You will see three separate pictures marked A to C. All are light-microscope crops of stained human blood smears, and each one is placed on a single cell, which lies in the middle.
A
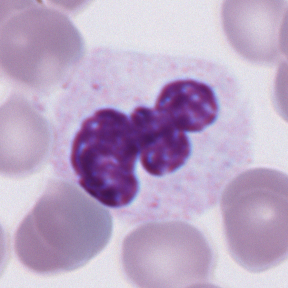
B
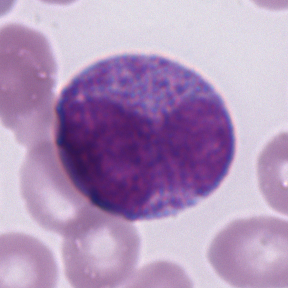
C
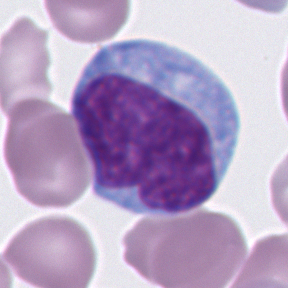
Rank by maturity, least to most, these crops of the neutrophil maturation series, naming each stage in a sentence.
In order from least mature to most mature, the crops stand crop C (a myeloblast), crop B (a promyelocyte) and crop A (a segmented neutrophil).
